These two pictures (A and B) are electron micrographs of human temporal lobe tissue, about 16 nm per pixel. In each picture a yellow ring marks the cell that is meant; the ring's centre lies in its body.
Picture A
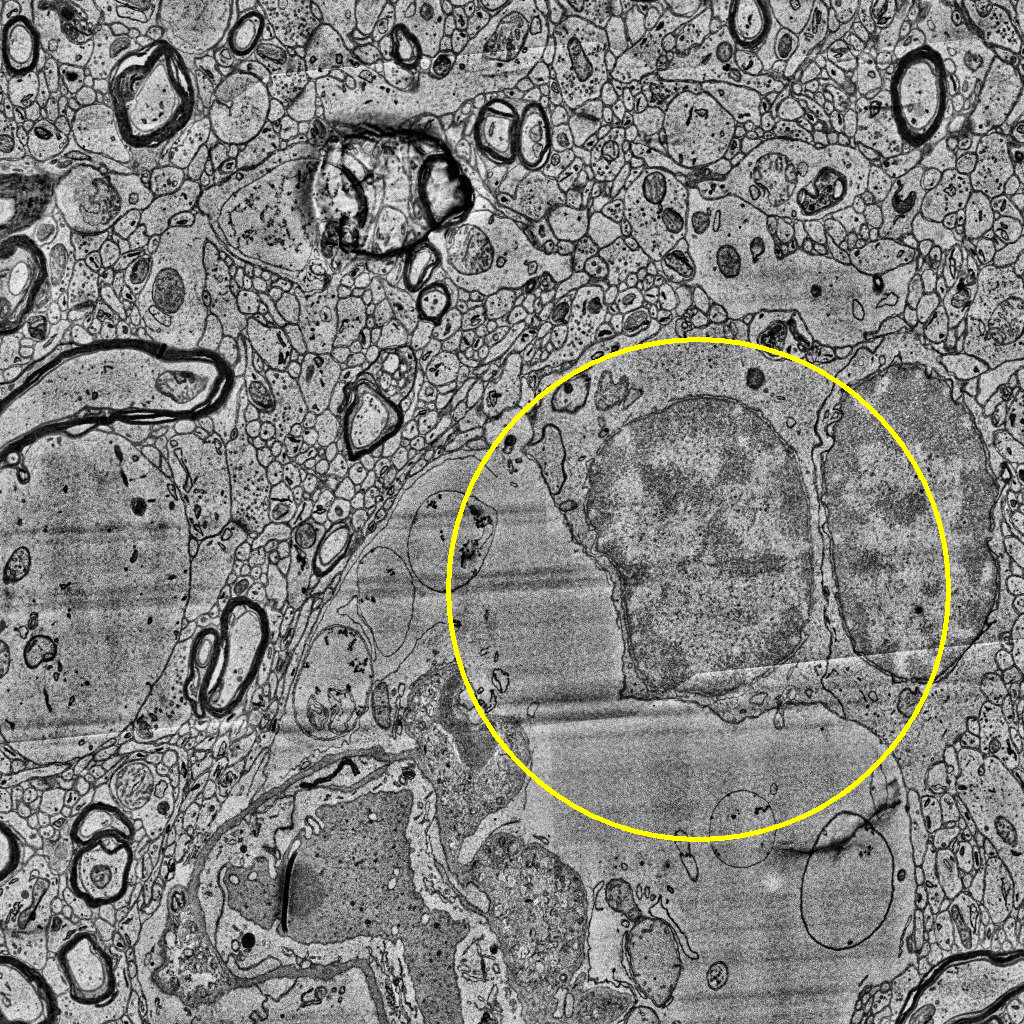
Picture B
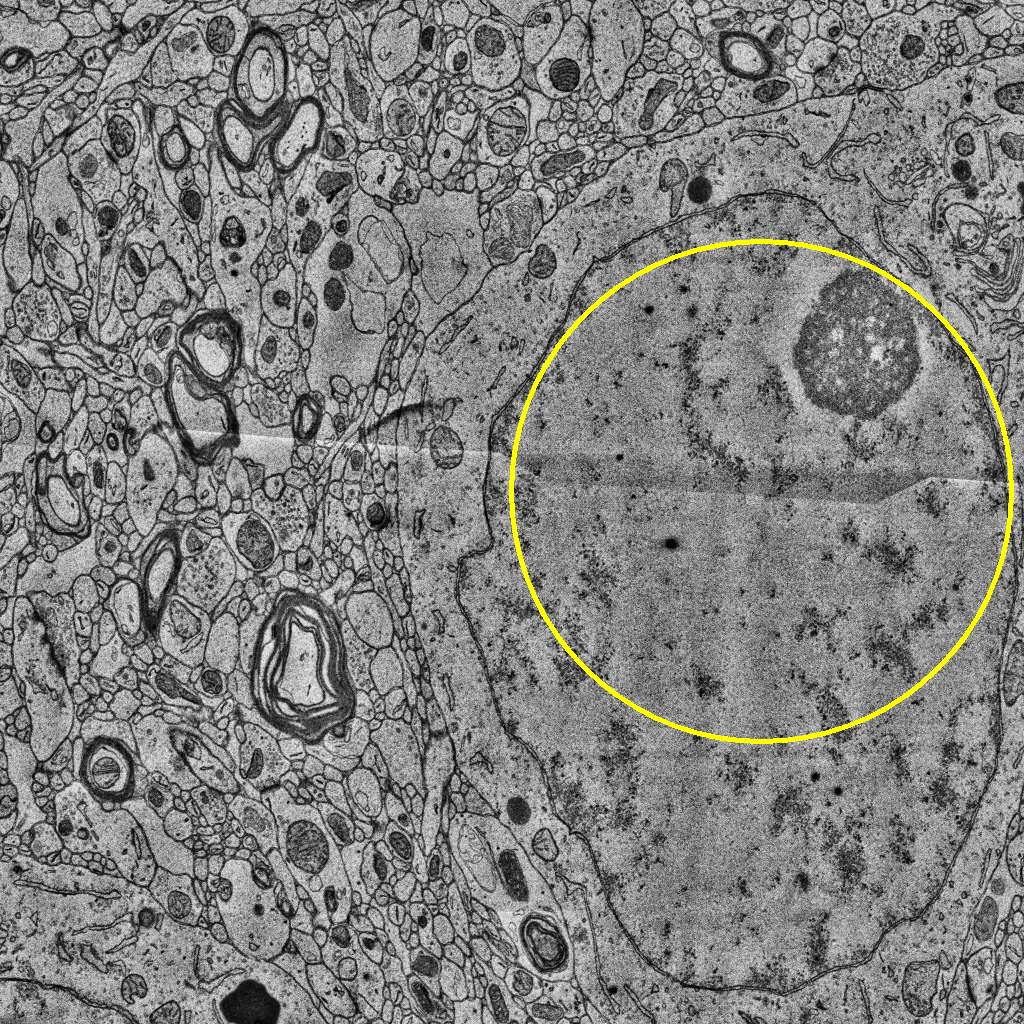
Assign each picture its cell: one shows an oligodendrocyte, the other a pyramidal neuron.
It is picture A that shows an oligodendrocyte, and picture B that shows a pyramidal neuron.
